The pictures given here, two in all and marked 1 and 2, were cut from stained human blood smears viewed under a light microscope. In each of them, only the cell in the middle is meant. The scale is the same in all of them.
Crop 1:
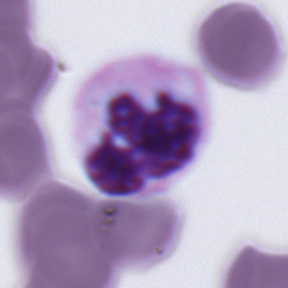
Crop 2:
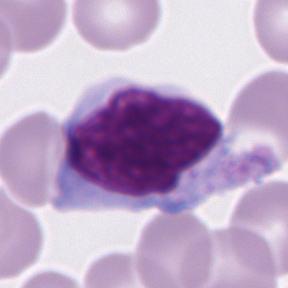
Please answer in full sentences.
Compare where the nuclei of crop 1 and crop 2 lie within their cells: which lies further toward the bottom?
The nucleus in crop 1 lies further toward the bottom of its cell.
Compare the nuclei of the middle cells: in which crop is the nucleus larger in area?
The nucleus in crop 2 is larger, with about 1.5 times the area of the one in crop 1.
